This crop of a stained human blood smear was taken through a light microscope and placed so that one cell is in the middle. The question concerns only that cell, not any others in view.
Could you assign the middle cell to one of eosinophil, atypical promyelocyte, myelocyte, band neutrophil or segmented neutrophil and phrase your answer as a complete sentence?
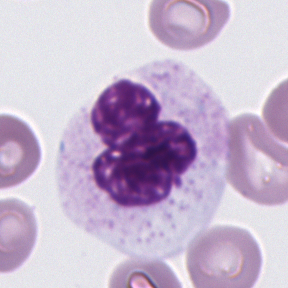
The cell at the middle of the crop is recognized as a segmented neutrophil.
